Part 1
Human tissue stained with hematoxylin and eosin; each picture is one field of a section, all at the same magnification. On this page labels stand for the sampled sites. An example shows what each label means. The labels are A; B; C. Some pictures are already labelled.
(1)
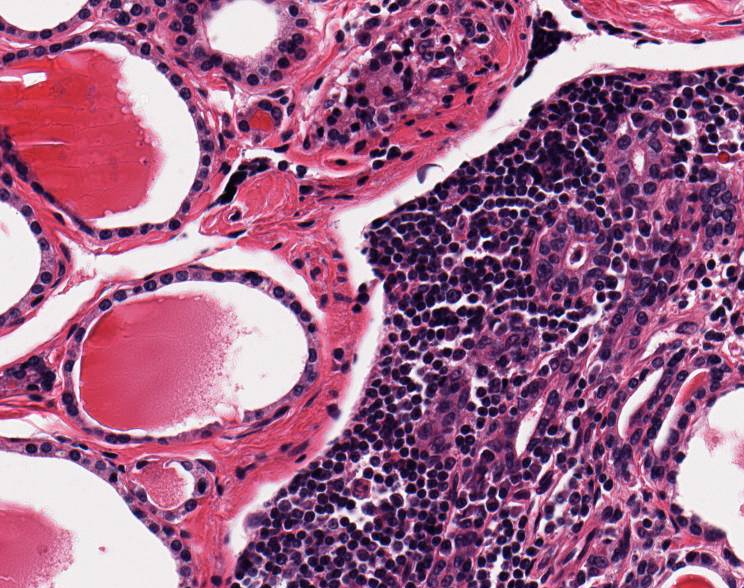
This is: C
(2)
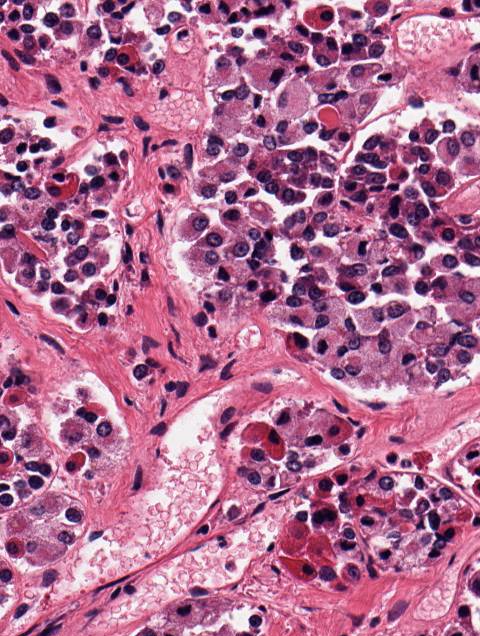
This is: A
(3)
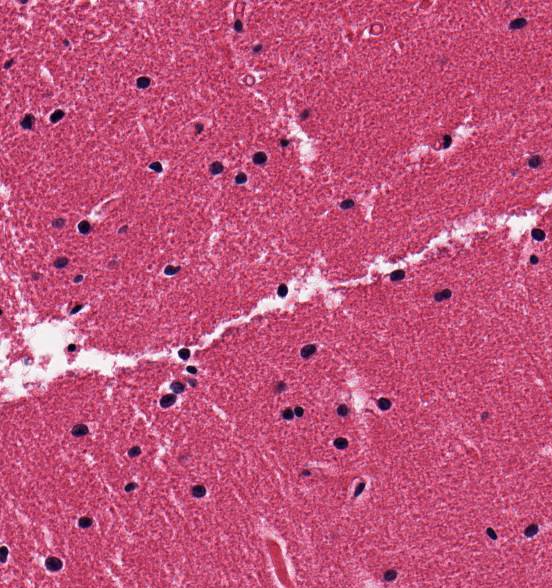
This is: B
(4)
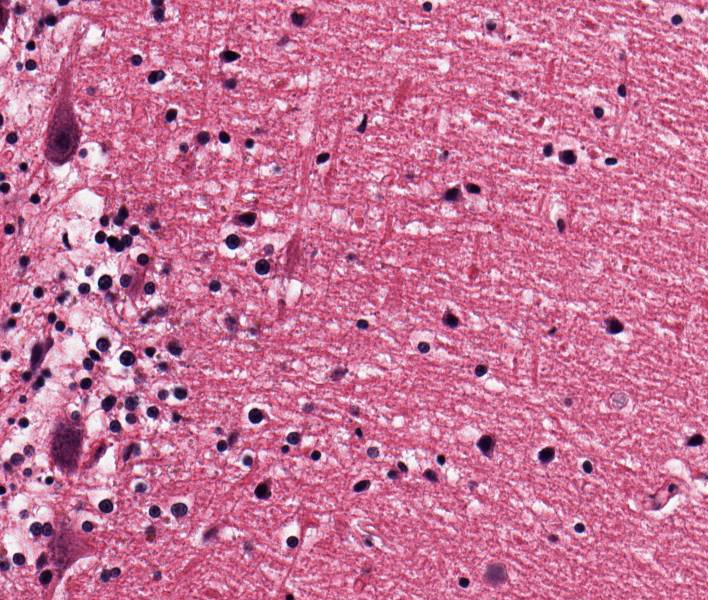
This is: B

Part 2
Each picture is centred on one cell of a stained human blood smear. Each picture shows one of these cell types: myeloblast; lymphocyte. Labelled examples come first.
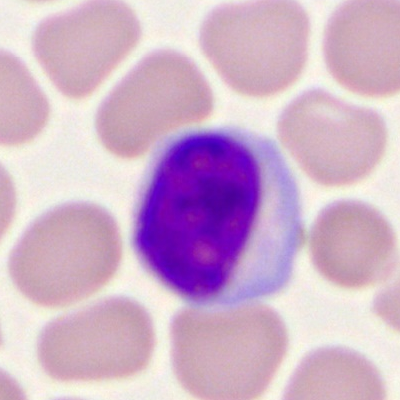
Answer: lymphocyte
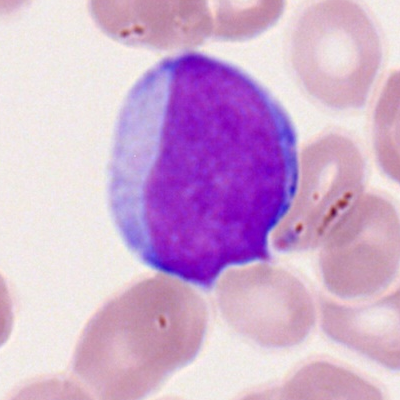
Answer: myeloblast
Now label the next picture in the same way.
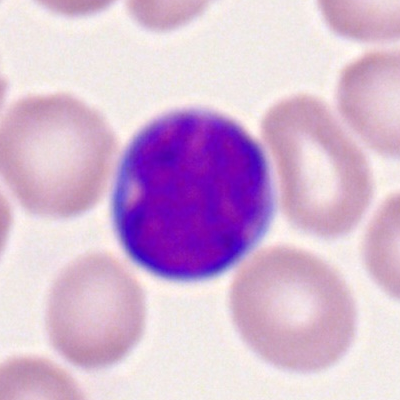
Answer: myeloblast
